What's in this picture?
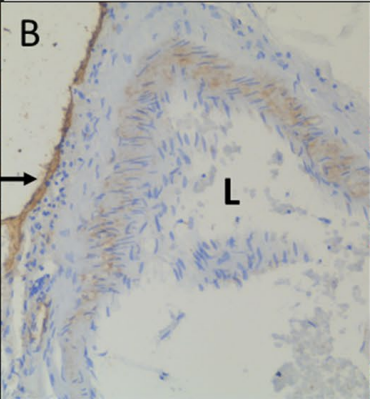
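This is the wall of a large vessel, with a layer of smooth muscle cells cut in section. The wall runs as a curved band around the open lumen, and within it lie many elongated, spindle-shaped blue nuclei aligned parallel to one another. A light brown stain runs along this band of spindle-shaped cells. Outside it lies looser, paler connective tissue with scattered nuclei, and at the far left edge a strip of brown-stained tissue borders the vessel. The lumen is mostly empty, with a little pale granular material in it.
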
